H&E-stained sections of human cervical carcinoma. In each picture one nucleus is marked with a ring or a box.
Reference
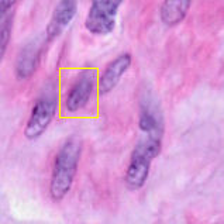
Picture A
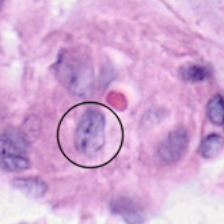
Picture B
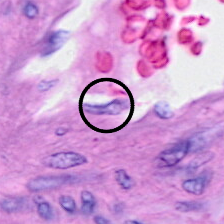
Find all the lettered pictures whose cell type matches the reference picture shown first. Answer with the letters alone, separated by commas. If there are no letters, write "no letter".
no letter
